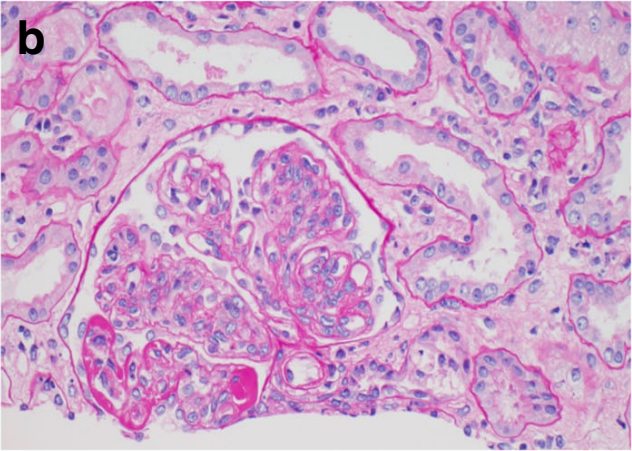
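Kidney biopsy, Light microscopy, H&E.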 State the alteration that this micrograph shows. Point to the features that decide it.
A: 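Capillary loops at the lower left of the tuft have thick, bright magenta walls. These thickened walls are much heavier than the other capillary walls in the tuft. On this evidence: wire loop lesion.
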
